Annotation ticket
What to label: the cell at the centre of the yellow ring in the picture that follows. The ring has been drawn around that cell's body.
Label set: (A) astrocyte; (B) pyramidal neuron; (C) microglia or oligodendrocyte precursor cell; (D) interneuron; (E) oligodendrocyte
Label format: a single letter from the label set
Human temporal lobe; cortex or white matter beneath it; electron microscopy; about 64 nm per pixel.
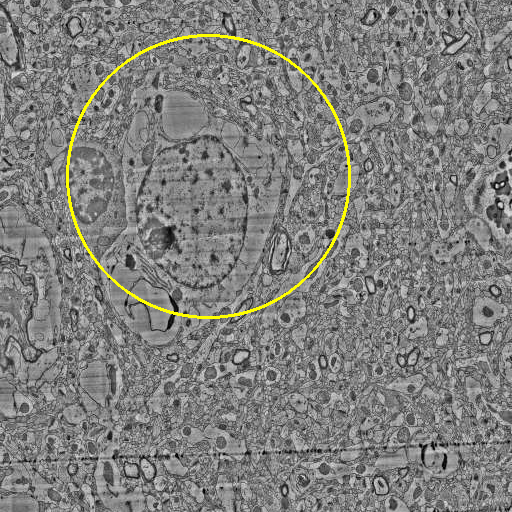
A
